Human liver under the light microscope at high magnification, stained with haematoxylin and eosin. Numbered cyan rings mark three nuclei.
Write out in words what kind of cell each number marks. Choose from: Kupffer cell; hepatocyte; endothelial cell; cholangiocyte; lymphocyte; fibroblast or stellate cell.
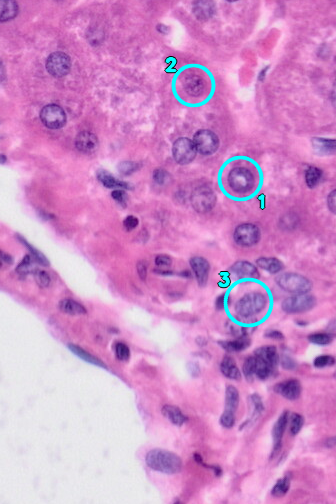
Cell 1 is a hepatocyte, cell 2 is a hepatocyte and cell 3 is a cholangiocyte.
